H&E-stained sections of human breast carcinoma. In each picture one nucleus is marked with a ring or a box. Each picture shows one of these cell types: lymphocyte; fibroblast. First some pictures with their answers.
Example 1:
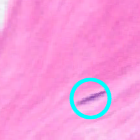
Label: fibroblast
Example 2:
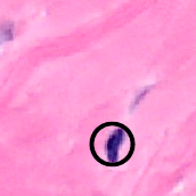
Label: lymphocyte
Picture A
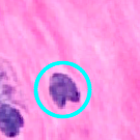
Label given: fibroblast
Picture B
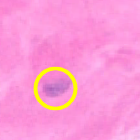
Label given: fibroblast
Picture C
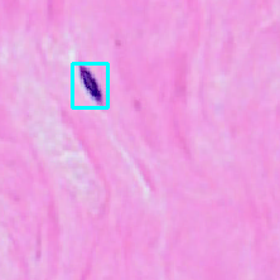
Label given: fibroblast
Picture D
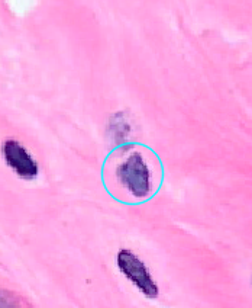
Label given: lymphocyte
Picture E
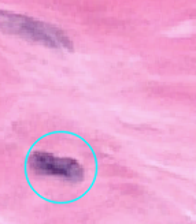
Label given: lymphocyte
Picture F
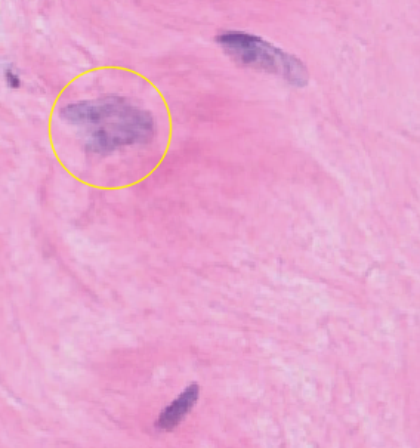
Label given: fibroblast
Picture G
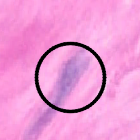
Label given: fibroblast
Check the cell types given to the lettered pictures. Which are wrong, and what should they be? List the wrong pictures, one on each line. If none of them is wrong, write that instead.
A: not fibroblast but lymphocyte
